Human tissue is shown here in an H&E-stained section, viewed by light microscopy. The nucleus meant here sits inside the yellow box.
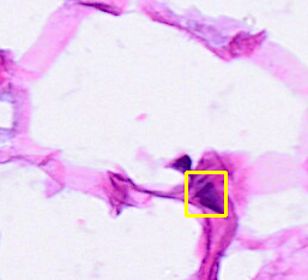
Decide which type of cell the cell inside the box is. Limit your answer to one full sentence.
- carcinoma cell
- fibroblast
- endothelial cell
Students should answer that the cell inside the box is an endothelial cell.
